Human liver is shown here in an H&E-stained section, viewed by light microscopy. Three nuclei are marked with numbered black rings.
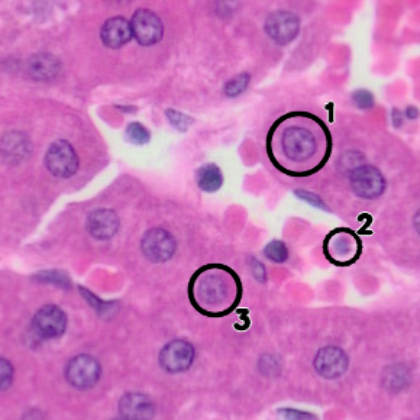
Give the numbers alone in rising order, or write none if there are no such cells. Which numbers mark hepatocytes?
1, 3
